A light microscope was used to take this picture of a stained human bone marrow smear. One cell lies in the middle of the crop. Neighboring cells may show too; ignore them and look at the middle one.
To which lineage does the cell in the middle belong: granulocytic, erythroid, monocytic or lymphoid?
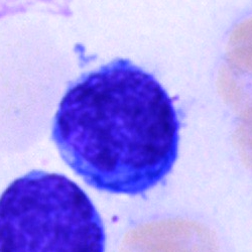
lymphoid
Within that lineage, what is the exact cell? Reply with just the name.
lymphocyte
